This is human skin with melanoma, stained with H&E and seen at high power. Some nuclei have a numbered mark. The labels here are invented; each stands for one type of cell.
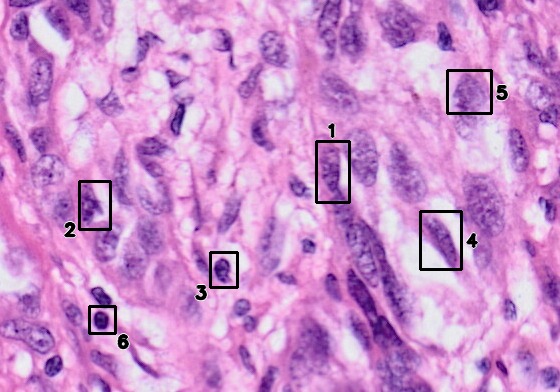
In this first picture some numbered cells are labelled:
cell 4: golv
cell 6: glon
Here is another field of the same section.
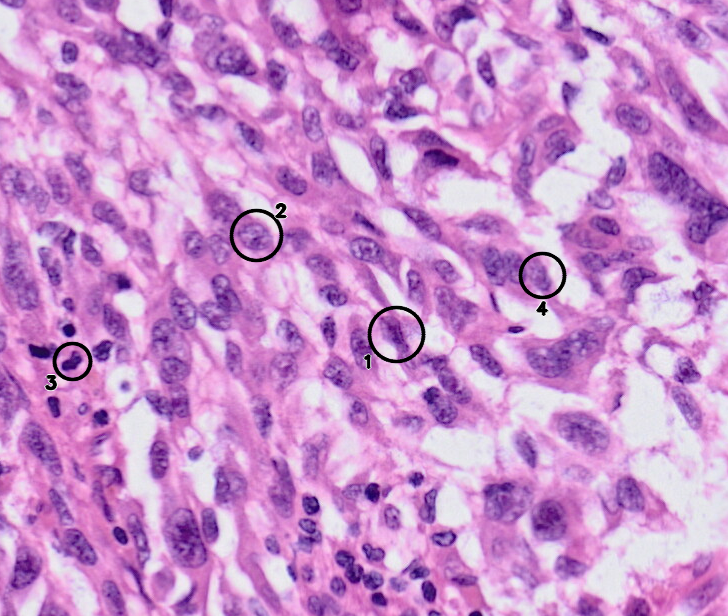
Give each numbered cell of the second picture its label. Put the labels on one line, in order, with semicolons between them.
golv; golv; glon; golv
